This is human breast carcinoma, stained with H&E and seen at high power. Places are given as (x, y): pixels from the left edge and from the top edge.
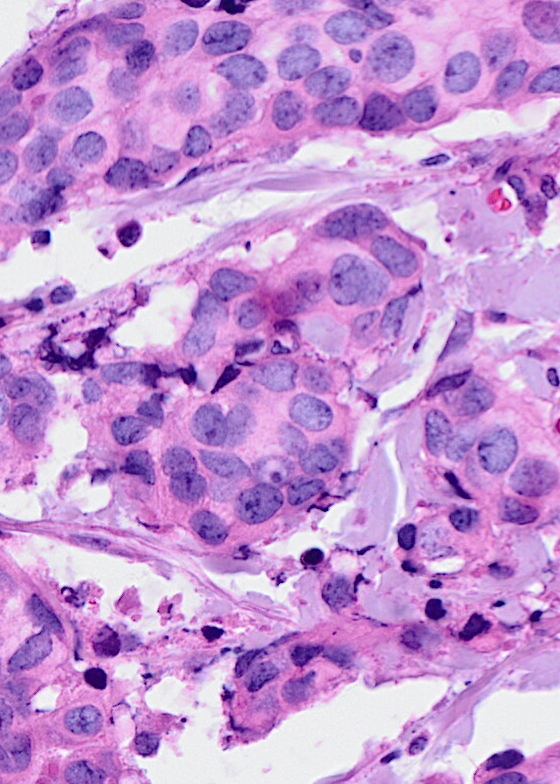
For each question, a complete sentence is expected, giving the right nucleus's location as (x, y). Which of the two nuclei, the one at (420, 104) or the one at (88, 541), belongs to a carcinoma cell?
The nucleus situated at (420, 104) is the one belonging to a carcinoma cell.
